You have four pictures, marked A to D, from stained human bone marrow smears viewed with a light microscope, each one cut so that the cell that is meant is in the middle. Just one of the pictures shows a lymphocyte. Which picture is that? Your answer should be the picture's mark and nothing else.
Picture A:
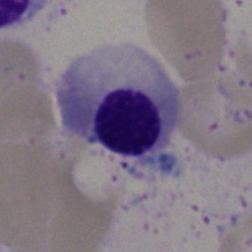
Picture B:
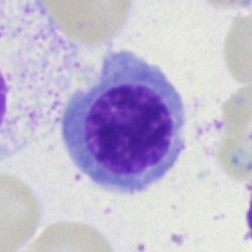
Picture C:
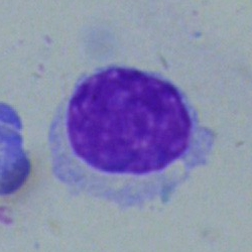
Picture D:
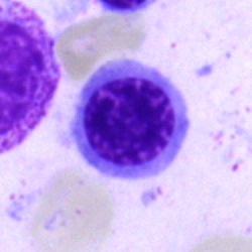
C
